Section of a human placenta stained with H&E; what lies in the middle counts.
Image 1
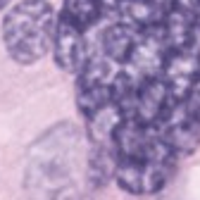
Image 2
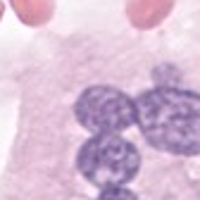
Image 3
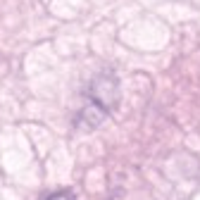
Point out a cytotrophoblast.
That is picture 2.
